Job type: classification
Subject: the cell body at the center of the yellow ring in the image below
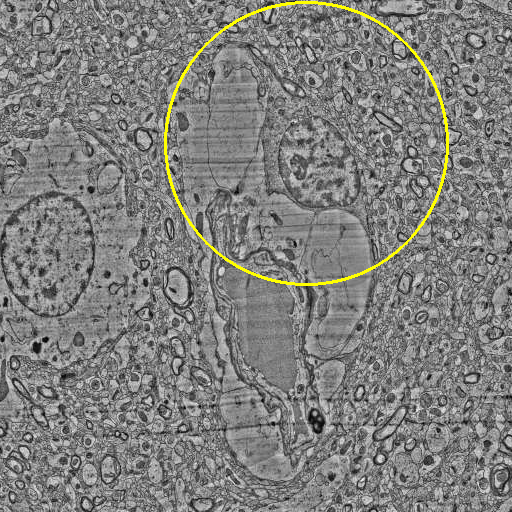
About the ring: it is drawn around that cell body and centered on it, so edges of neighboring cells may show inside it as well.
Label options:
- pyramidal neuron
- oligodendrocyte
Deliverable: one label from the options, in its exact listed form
oligodendrocyte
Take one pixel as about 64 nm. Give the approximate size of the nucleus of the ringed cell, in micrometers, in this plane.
Approximately 6 by 5 micrometers in this plane.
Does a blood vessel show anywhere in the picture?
Yes, one shows.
